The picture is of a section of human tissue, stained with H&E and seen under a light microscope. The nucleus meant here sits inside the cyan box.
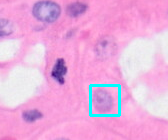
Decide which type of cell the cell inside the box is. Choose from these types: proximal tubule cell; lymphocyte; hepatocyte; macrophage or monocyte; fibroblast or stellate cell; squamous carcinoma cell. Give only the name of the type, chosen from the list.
proximal tubule cell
